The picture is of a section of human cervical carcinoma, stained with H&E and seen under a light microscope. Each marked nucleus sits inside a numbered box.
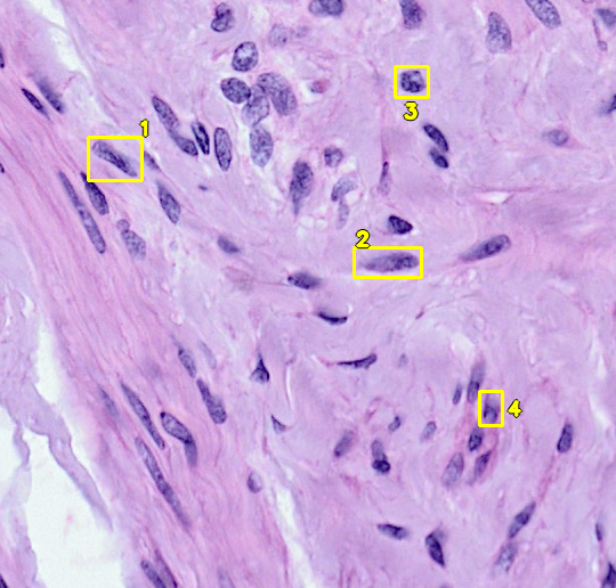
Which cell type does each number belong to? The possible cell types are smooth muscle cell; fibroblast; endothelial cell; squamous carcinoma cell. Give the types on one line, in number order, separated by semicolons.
fibroblast; fibroblast; fibroblast; smooth muscle cell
